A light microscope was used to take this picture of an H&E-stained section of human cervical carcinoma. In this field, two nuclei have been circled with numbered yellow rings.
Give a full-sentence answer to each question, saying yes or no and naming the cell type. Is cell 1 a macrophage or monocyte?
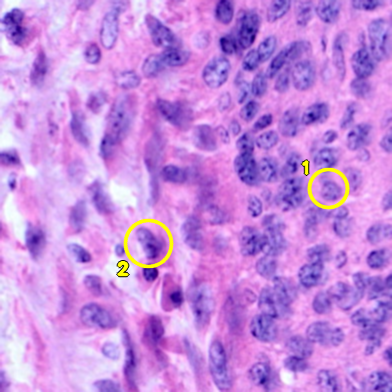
No, a squamous carcinoma cell is what cell 1 is, not a macrophage or monocyte.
